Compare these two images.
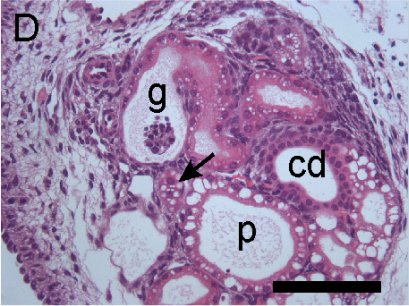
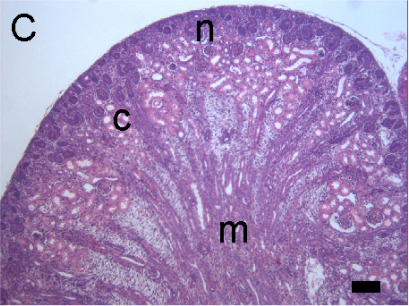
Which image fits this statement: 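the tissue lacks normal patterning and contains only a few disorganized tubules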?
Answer: the first image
